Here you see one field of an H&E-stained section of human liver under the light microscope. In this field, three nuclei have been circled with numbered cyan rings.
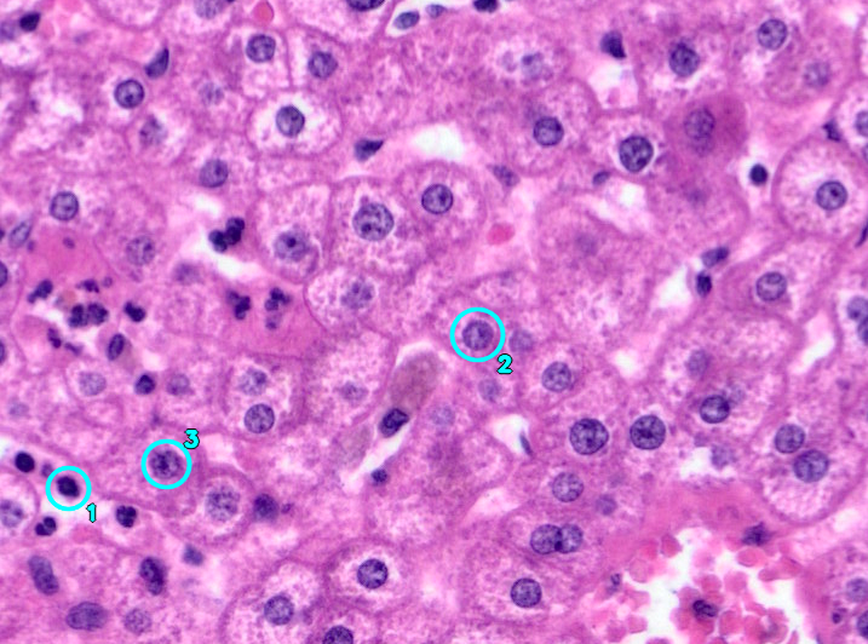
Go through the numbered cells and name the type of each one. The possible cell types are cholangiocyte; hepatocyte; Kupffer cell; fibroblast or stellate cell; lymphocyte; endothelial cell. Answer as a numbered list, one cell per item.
1. lymphocyte
2. hepatocyte
3. hepatocyte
